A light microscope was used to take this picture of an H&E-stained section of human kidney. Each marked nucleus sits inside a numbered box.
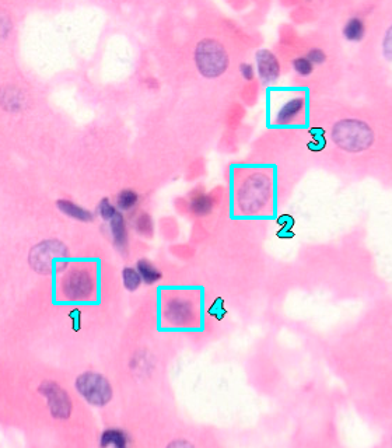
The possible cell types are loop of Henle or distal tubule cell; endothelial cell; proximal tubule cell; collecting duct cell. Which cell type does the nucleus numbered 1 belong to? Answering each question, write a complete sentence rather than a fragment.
In this section, the cell tagged 1 is a proximal tubule cell.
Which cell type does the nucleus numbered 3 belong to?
The cell indicated with the number 3 is classed as an endothelial cell.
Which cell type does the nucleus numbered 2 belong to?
The nucleus labelled 2 belongs to a proximal tubule cell.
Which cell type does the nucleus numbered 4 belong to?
Number 4 is placed on a proximal tubule cell here.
